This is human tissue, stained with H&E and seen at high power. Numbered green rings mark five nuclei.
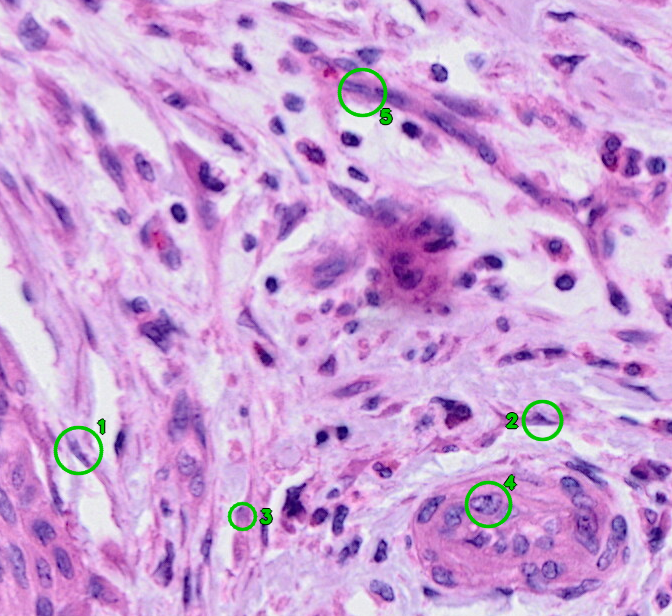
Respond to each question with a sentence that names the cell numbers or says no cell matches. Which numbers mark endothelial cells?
Cell 5 alone, of all the numbered cells, is an endothelial cell.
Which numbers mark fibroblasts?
Regarding the numbered cells 1, 2 and 3, these are fibroblasts.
